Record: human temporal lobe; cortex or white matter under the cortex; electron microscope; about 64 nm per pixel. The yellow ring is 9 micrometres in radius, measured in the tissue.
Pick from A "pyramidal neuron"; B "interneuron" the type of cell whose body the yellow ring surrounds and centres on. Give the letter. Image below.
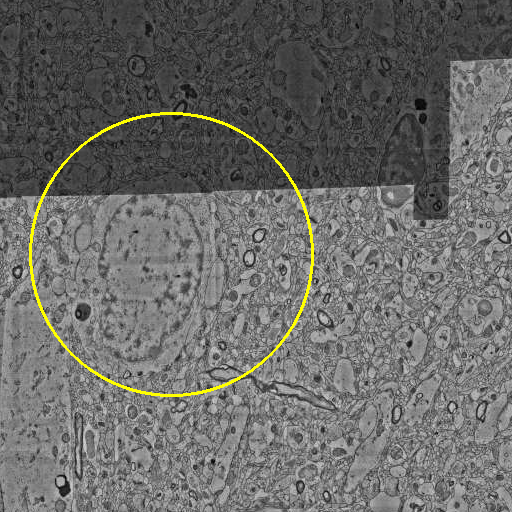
B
